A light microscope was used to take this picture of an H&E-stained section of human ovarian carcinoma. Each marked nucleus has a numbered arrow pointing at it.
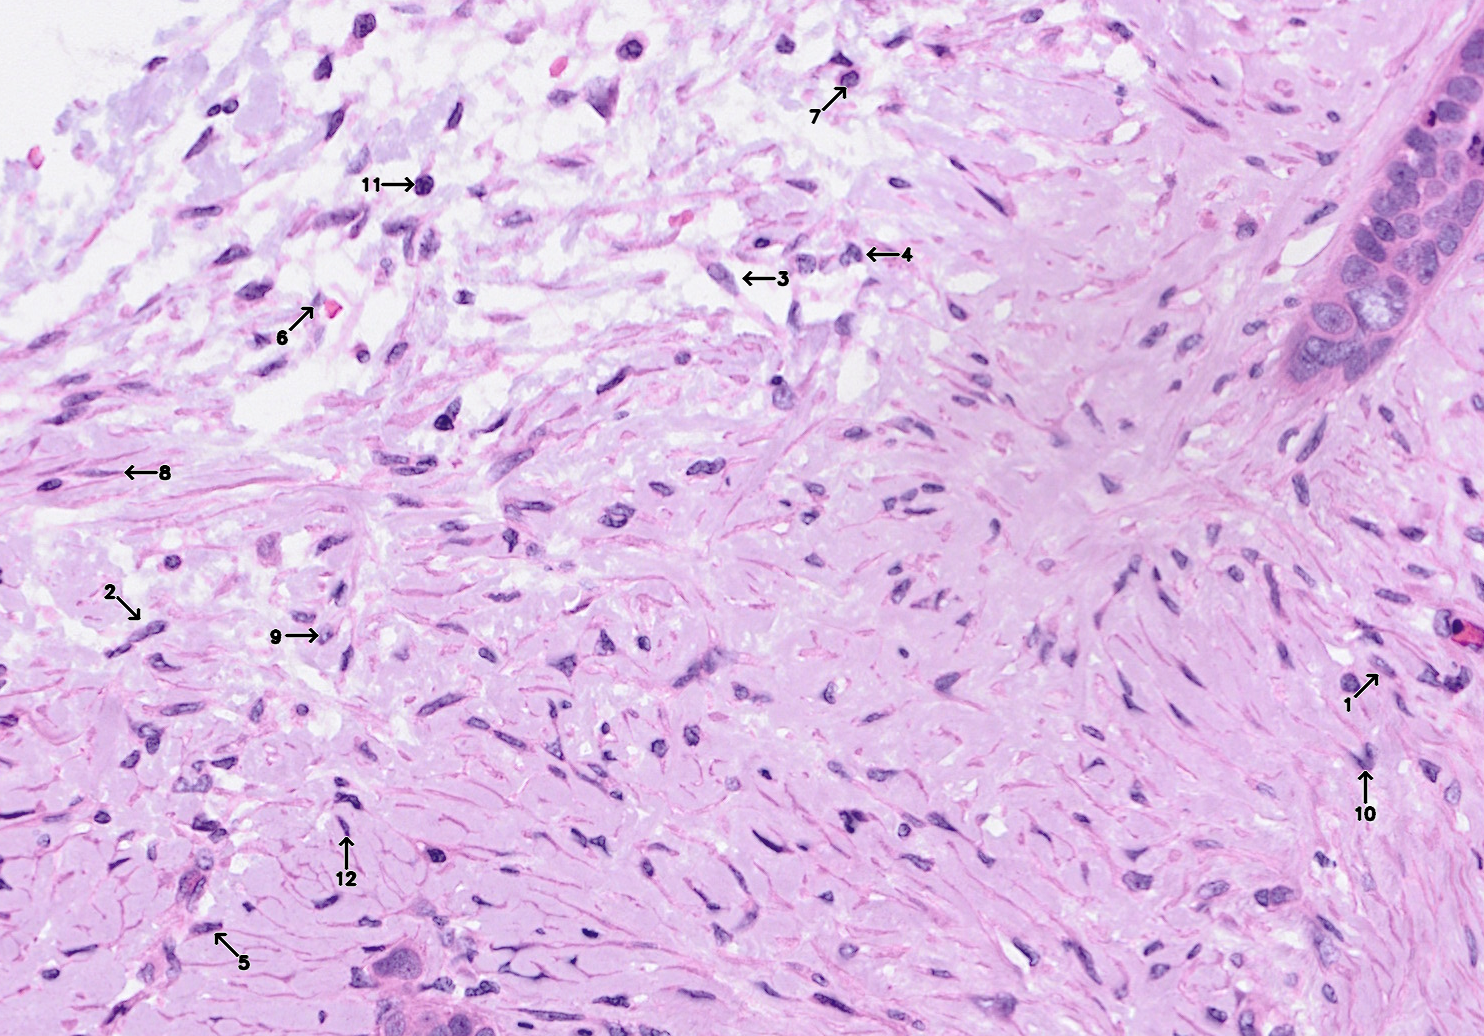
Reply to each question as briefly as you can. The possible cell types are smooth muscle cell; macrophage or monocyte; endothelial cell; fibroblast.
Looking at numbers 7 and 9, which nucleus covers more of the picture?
7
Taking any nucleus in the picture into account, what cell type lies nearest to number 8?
macrophage or monocyte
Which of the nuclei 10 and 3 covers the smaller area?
10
